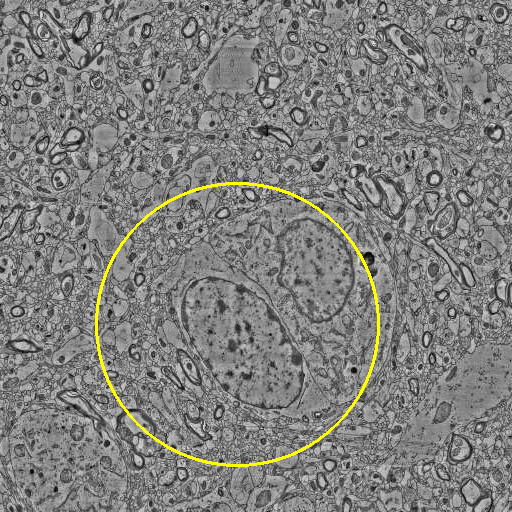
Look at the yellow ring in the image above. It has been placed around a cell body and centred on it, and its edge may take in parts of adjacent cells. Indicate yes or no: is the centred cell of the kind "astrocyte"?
no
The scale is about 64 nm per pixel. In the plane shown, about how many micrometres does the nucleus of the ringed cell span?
The nucleus measures about 10 by 6 micrometres in this plane.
